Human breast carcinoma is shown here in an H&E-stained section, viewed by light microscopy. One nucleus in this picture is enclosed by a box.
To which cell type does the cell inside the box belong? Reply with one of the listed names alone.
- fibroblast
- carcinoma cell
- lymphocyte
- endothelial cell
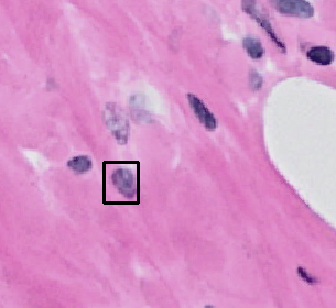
lymphocyte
